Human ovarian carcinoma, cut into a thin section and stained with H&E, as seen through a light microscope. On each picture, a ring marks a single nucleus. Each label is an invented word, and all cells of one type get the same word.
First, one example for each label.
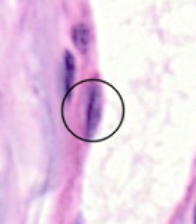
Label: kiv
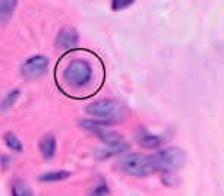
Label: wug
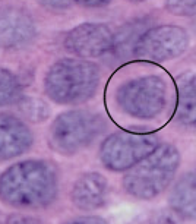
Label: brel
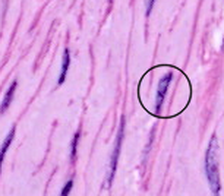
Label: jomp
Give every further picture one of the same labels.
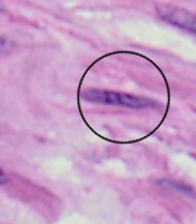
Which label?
jomp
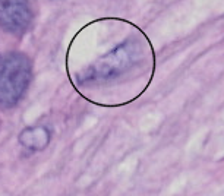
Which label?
jomp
